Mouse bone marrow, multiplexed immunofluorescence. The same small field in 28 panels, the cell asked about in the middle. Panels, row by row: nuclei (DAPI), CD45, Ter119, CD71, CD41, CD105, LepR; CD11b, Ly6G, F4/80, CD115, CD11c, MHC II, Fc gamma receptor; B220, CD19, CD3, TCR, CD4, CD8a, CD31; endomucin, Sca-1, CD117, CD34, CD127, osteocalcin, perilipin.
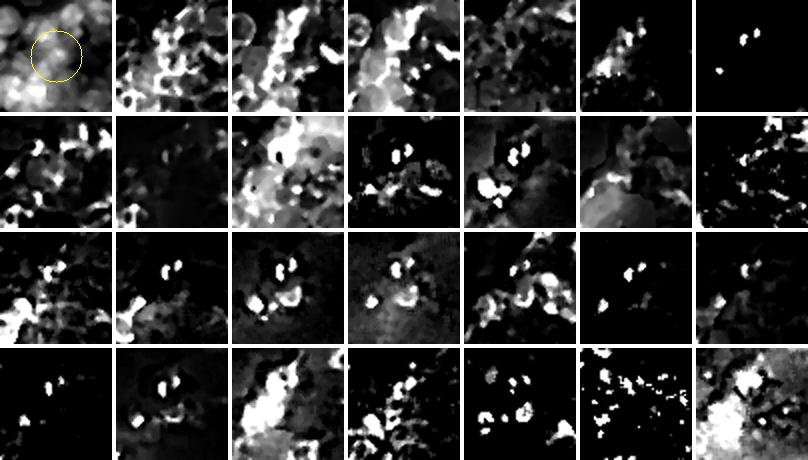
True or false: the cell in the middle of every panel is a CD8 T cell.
False; it is a CD4 T cell.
